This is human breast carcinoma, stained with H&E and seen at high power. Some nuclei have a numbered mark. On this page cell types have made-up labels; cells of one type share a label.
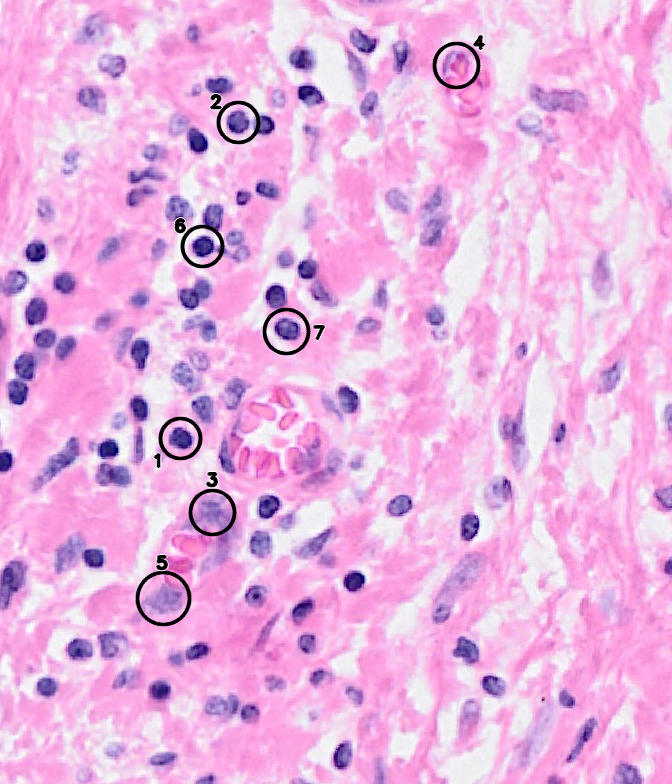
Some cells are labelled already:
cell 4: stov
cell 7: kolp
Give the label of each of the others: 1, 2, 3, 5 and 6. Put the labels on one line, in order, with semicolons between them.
kolp; kolp; stov; stov; kolp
